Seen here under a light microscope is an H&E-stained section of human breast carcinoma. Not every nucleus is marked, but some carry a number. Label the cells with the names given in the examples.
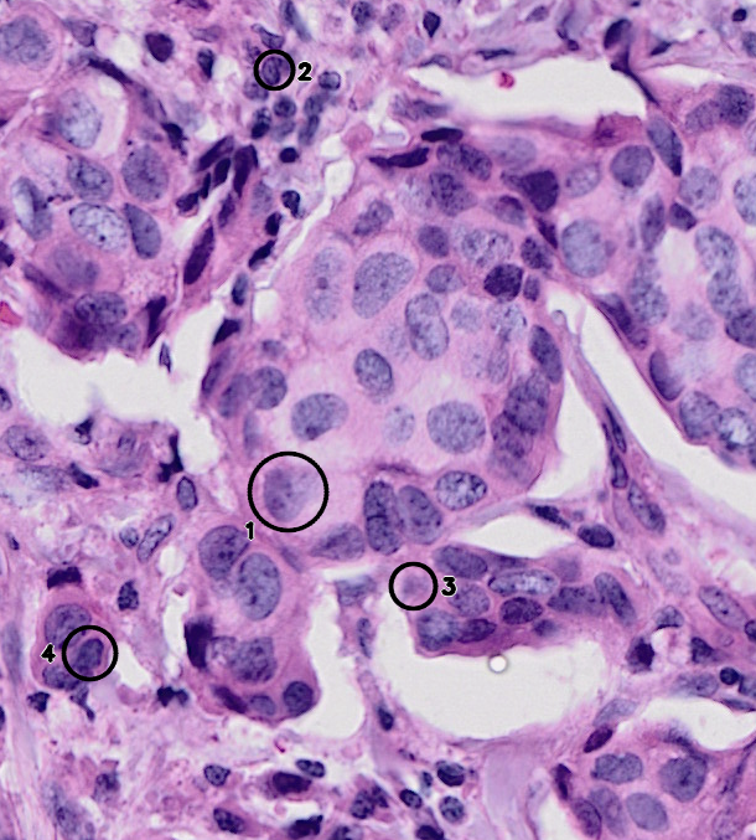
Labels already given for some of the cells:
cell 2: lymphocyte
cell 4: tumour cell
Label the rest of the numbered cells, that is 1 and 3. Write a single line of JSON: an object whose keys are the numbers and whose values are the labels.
{"1": "tumour cell", "3": "tumour cell"}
